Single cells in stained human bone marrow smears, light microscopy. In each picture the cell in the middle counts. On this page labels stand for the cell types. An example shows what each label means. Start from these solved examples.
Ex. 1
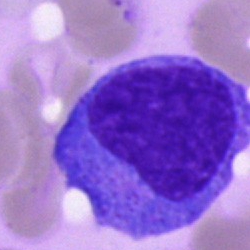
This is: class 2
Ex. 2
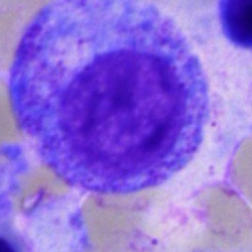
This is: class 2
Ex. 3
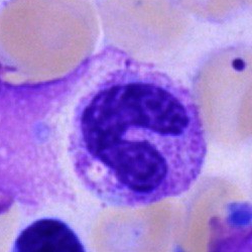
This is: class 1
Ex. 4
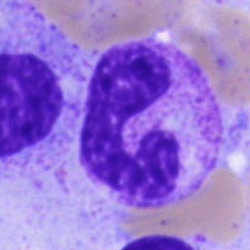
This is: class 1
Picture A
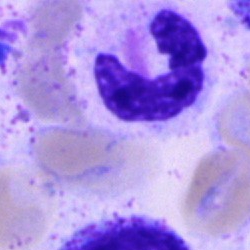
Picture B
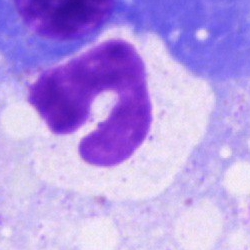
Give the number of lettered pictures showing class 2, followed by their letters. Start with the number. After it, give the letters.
0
